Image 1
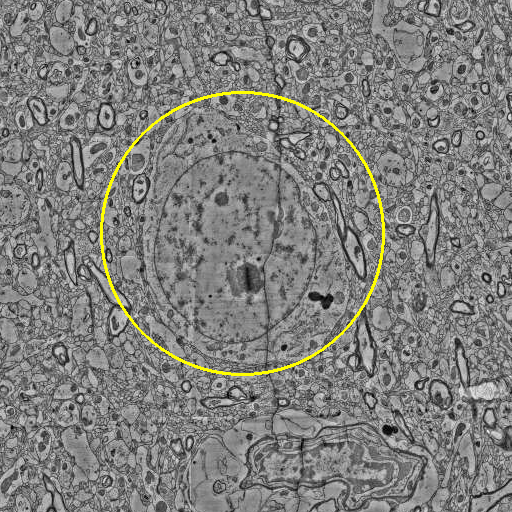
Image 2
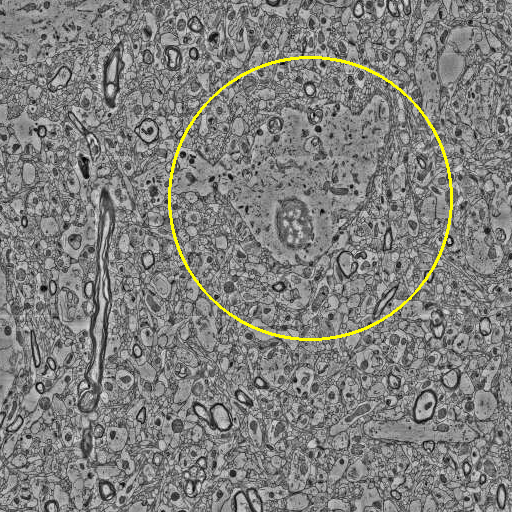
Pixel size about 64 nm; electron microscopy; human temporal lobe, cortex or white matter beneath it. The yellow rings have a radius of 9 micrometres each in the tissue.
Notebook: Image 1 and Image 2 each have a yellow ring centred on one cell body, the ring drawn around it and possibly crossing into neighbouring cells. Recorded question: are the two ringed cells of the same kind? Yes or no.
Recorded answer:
no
